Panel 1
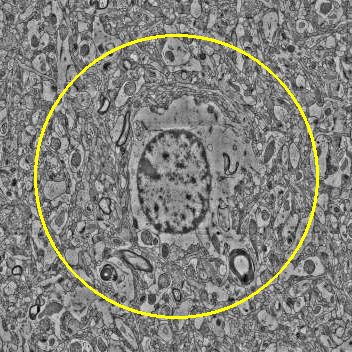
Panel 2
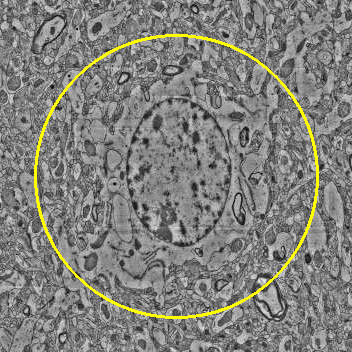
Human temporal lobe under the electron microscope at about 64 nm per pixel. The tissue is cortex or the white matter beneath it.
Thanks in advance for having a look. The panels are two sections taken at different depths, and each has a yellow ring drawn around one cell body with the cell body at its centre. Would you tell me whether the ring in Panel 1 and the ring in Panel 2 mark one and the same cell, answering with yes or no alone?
yes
